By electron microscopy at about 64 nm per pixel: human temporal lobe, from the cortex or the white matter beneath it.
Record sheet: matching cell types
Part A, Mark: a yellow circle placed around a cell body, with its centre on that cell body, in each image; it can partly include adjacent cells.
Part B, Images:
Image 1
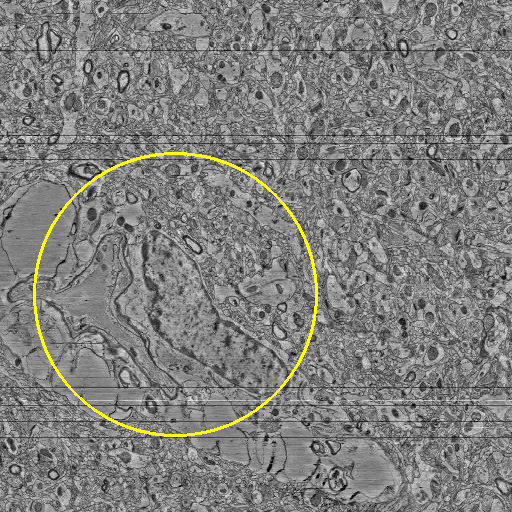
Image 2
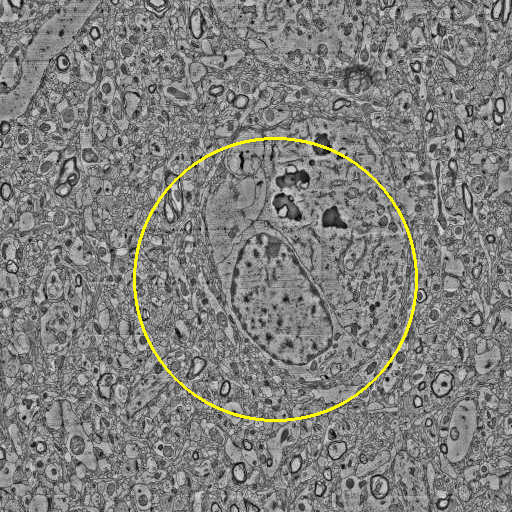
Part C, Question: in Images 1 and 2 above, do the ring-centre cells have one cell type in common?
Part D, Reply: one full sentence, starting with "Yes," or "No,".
Yes, the ring-centre cells of Image 1 and Image 2 are both of a single cell type.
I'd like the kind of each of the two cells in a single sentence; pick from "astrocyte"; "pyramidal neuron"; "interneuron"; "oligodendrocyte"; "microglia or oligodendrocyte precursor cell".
The cell at the ring centre is a microglial cell or oligodendrocyte precursor cell in both pictures.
